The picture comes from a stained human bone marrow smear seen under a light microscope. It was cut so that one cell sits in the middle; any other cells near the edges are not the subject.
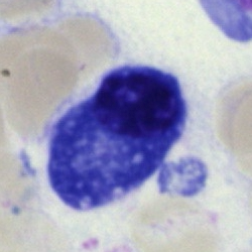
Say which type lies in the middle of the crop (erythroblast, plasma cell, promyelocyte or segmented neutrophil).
plasma cell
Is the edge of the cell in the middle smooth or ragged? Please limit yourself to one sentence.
The edge of the cell is unbroken and smooth, bearing no projections.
